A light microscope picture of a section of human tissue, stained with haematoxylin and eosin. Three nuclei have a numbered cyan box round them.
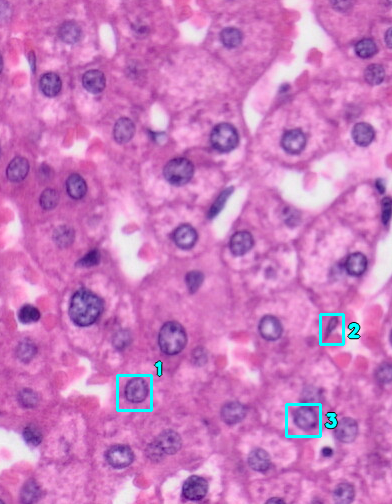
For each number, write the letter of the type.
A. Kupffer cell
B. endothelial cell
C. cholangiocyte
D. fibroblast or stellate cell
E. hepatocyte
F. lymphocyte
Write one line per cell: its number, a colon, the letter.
1: E
2: B
3: E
